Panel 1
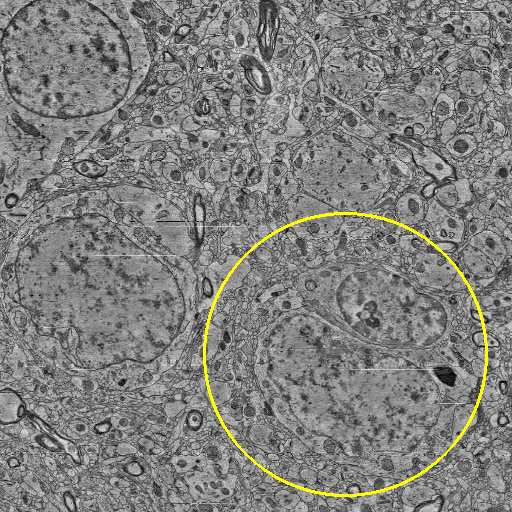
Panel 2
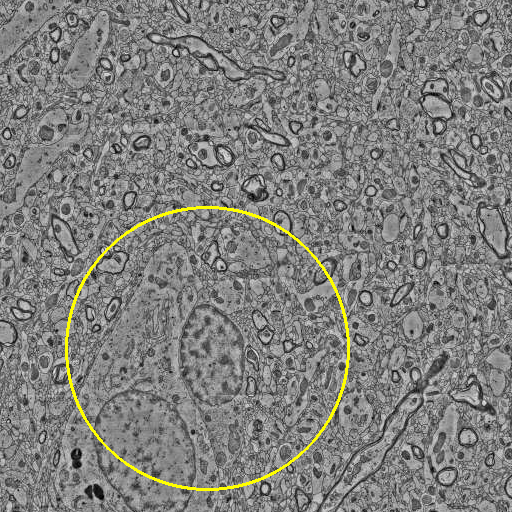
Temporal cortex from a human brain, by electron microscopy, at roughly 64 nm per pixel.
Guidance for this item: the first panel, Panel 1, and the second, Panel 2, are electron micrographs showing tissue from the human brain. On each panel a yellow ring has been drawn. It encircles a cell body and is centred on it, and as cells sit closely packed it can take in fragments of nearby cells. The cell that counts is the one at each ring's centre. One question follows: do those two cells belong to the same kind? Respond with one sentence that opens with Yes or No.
No, the cells at the ring centres in Panel 1 and Panel 2 are of two kinds.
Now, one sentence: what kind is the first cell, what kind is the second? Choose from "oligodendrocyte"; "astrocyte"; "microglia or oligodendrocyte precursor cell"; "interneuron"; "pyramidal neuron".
The first picture has an interneuron at its ring centre, and the second has an oligodendrocyte.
